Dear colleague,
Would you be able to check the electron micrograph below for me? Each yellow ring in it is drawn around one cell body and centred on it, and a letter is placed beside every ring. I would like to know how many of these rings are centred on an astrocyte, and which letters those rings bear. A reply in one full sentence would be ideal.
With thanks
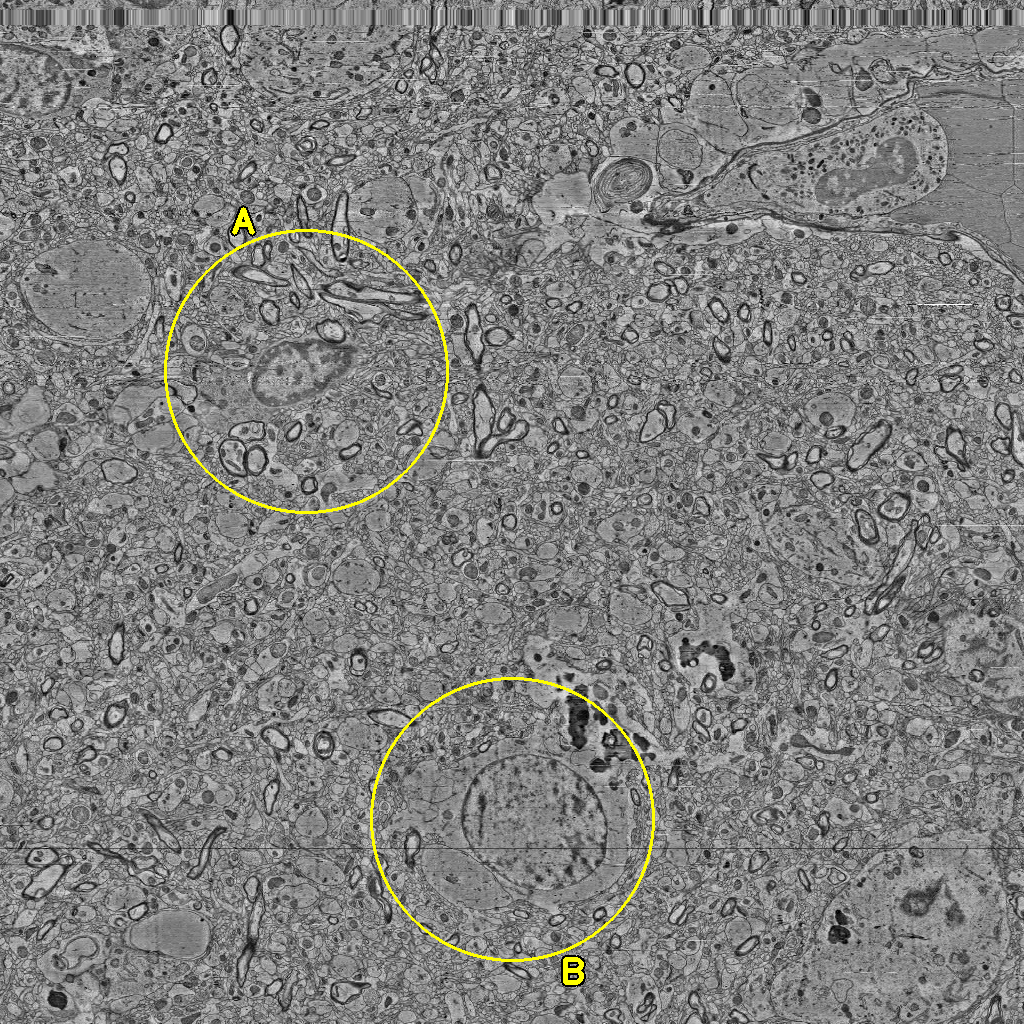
Of all the rings, only one has an astrocyte at its centre, and it bears the letter B.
